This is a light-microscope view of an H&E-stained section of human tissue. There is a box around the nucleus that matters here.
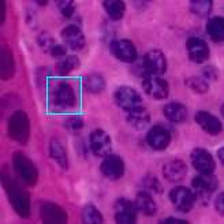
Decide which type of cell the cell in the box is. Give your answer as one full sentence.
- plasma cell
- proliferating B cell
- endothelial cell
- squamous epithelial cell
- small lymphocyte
To be brief about it, the cell in the box is a plasma cell.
